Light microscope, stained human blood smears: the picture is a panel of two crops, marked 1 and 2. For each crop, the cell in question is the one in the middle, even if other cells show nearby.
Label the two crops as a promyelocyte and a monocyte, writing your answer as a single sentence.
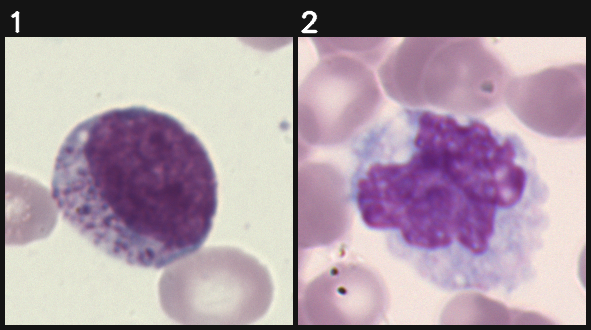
Crop 2 is a monocyte, while crop 1 is a promyelocyte.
